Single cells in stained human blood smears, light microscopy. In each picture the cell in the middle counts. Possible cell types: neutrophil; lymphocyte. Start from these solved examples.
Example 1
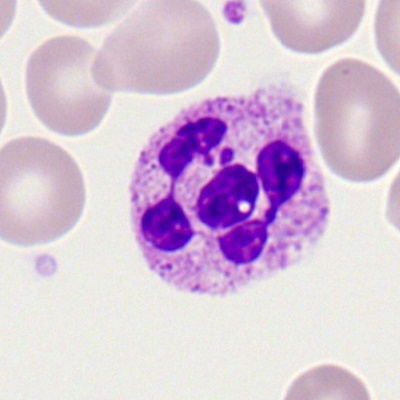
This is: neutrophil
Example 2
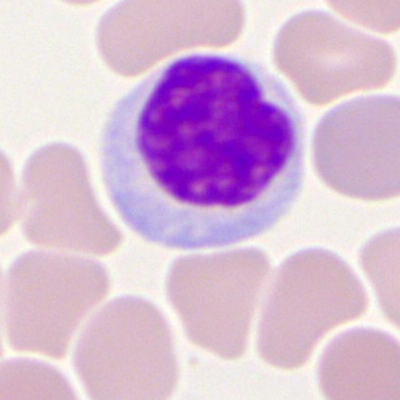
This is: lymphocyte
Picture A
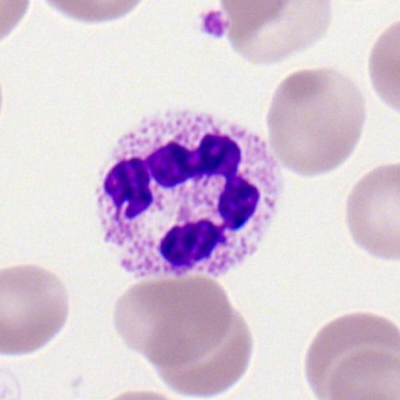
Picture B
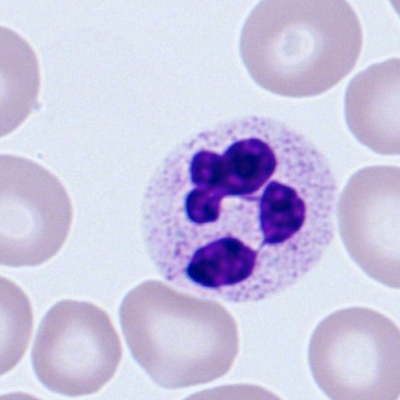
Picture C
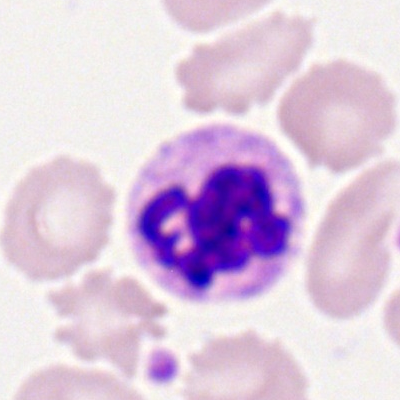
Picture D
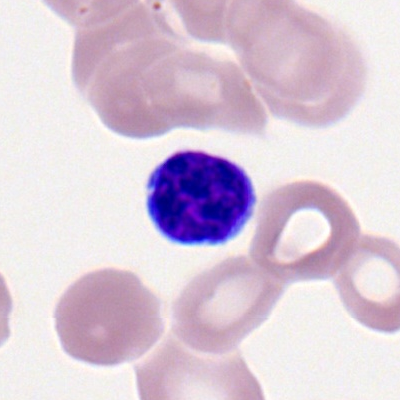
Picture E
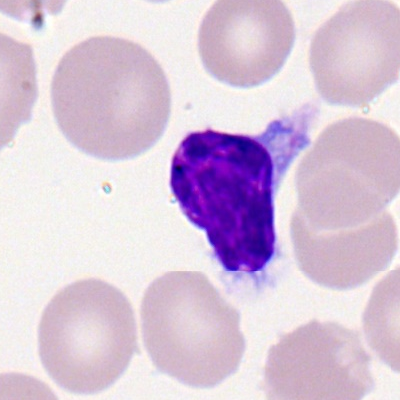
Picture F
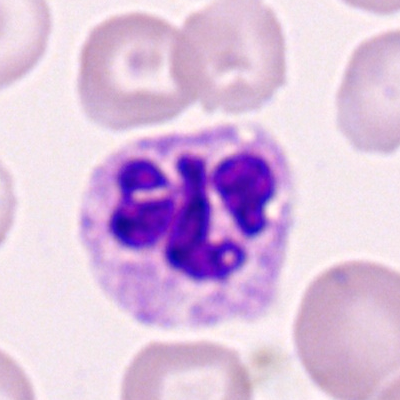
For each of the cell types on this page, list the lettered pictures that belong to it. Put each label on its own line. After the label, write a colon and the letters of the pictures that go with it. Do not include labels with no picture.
neutrophil: A, B, C, F
lymphocyte: D, E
